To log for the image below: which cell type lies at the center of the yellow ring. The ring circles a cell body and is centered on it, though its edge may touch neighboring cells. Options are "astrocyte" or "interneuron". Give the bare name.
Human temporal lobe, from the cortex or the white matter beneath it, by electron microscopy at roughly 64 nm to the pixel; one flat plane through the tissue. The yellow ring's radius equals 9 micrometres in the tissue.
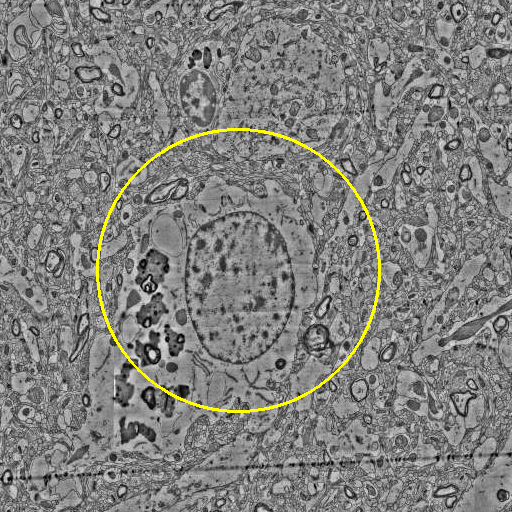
astrocyte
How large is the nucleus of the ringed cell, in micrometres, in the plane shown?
In this plane the nucleus spans approximately 10 by 7 micrometers.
